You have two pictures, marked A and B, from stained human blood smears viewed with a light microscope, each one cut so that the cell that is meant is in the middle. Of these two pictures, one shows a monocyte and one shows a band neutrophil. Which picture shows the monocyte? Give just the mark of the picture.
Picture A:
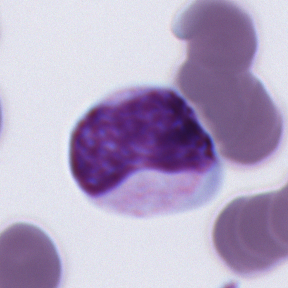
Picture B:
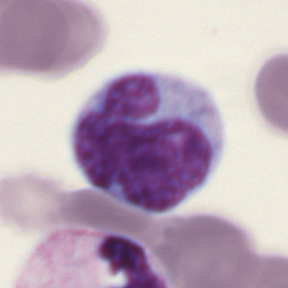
B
